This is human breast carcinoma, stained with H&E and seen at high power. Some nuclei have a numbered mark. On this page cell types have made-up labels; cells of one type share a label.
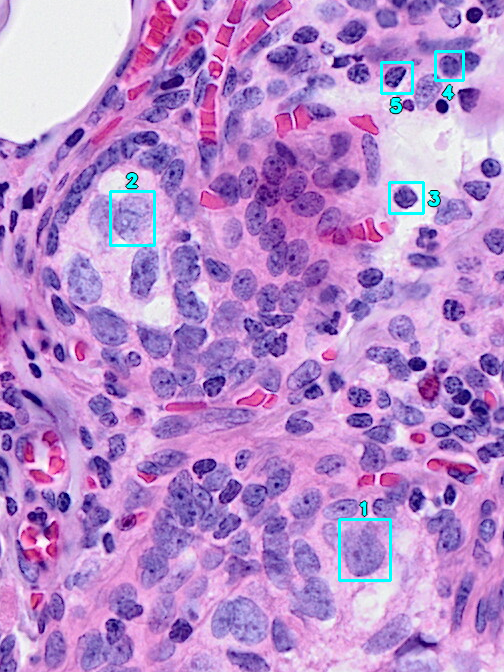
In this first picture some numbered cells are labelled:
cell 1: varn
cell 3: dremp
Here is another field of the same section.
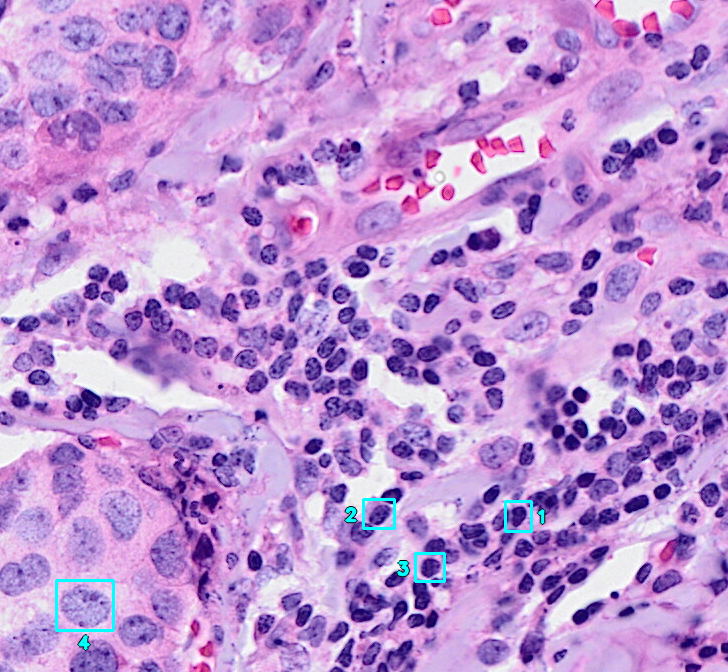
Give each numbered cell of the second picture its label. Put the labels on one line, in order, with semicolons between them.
dremp; dremp; dremp; varn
